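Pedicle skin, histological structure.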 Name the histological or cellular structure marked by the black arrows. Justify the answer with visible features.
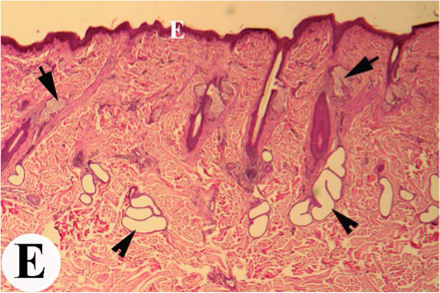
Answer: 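The arrows point to small pale cell clusters beside hair follicles in the upper dermis. The clusters are much smaller than the follicles they lie next to. On this evidence: small size sebaceous glands.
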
